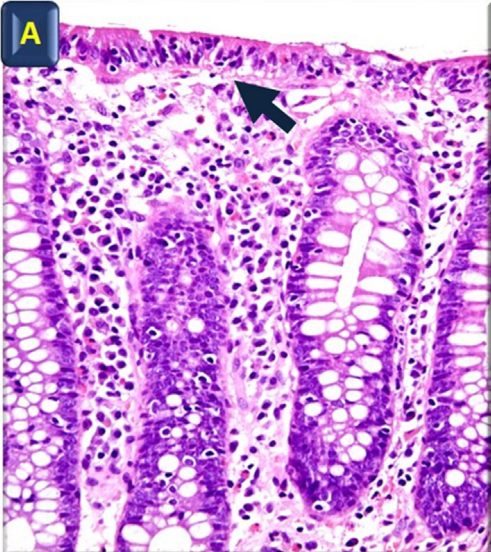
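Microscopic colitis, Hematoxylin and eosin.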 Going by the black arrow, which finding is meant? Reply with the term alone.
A: Intraepithelial lymphocyte infiltration.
